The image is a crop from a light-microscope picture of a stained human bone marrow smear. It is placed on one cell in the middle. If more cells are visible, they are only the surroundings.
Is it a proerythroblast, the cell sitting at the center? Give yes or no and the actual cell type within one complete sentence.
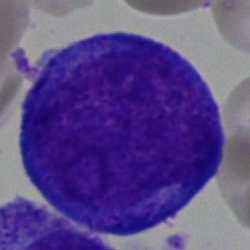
Yes, centred in the crop is a proerythroblast.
